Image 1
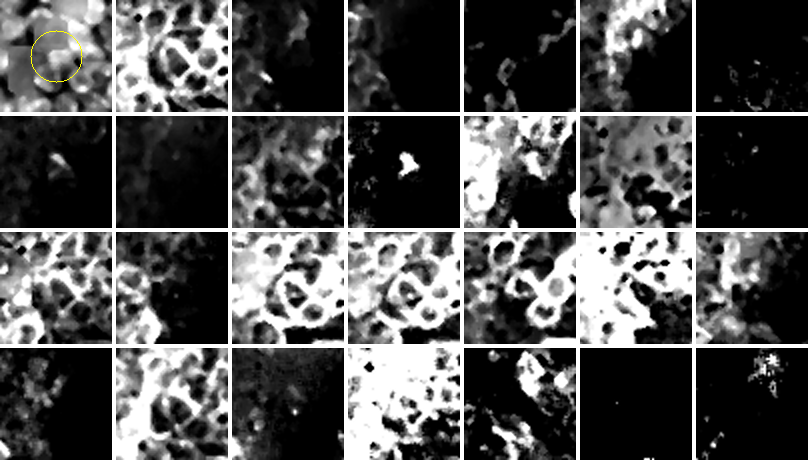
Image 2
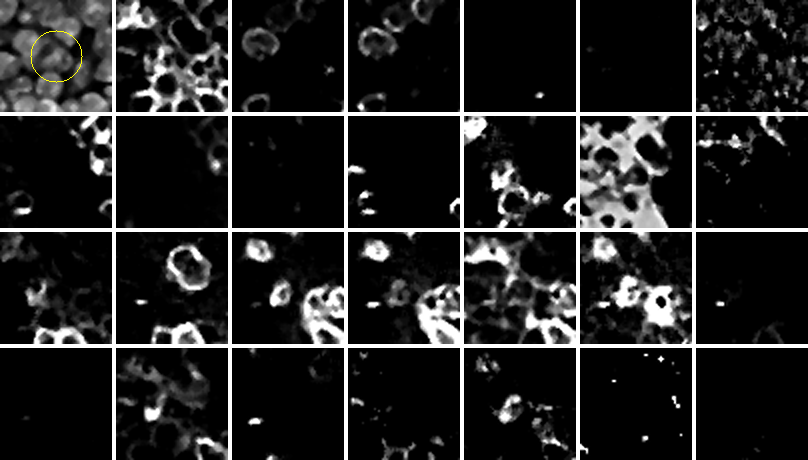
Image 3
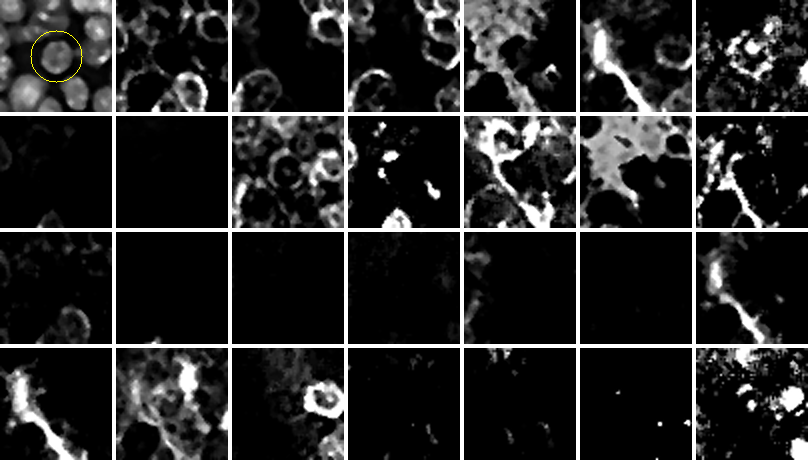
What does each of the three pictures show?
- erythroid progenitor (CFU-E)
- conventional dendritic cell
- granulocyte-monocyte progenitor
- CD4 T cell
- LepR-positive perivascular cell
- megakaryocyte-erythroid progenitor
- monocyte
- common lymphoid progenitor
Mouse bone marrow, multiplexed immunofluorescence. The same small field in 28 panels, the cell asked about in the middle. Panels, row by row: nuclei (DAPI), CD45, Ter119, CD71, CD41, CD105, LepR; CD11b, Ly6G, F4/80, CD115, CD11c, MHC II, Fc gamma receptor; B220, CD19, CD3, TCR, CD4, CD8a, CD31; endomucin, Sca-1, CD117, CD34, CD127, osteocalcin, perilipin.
1: conventional dendritic cell
2: common lymphoid progenitor
3: LepR-positive perivascular cell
